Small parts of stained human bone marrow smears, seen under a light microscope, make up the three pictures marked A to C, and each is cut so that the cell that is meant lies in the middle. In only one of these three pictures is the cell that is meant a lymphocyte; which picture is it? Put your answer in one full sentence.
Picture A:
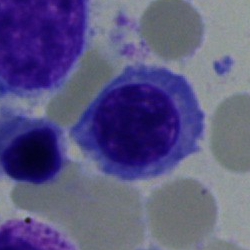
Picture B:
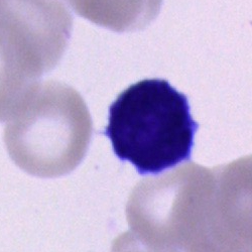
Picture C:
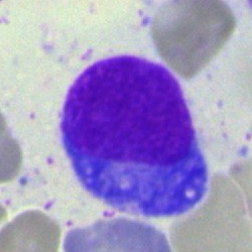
The picture with the lymphocyte is B.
